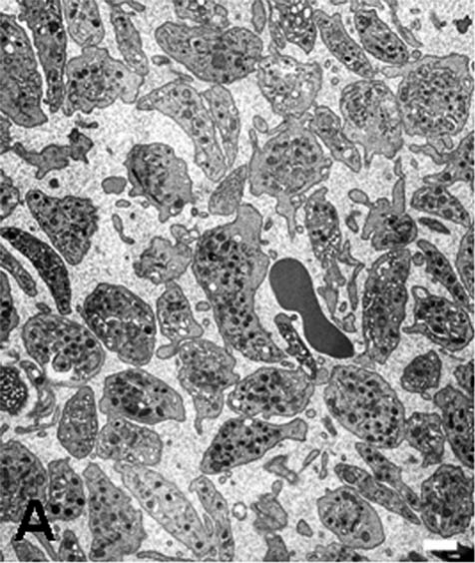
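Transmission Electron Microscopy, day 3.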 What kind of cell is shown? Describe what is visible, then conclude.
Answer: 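Platelets. Many small anucleate cell profiles lie scattered in a pale background. The profiles contain numerous small dark round granules. Several profiles have thin cytoplasmic extensions.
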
